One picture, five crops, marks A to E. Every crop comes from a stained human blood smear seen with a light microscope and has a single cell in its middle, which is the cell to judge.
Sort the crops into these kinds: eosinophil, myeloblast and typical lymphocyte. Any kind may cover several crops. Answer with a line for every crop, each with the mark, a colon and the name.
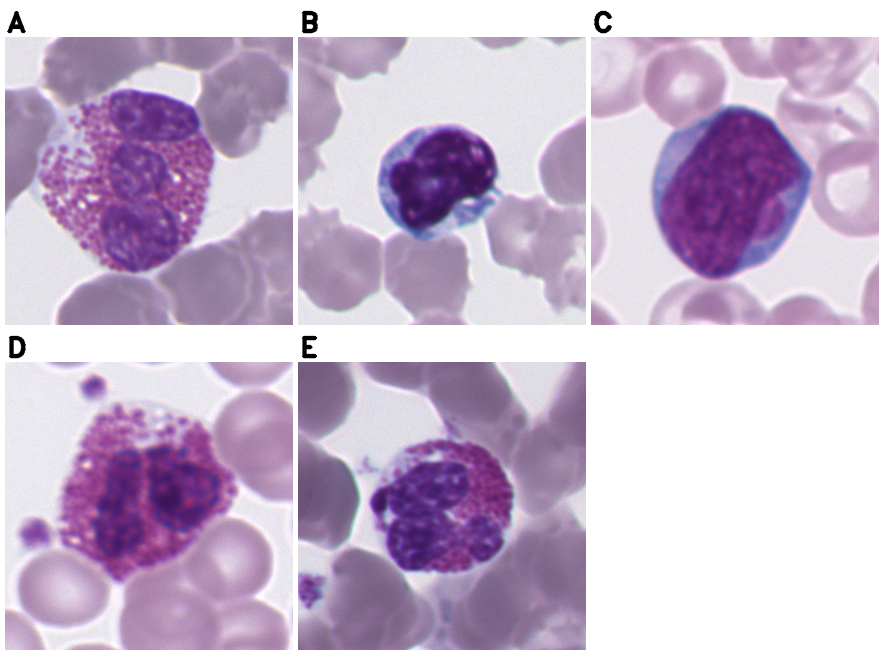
A: eosinophil
B: typical lymphocyte
C: myeloblast
D: eosinophil
E: eosinophil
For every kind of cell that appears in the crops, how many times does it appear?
eosinophil: 3
typical lymphocyte: 1
myeloblast: 1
